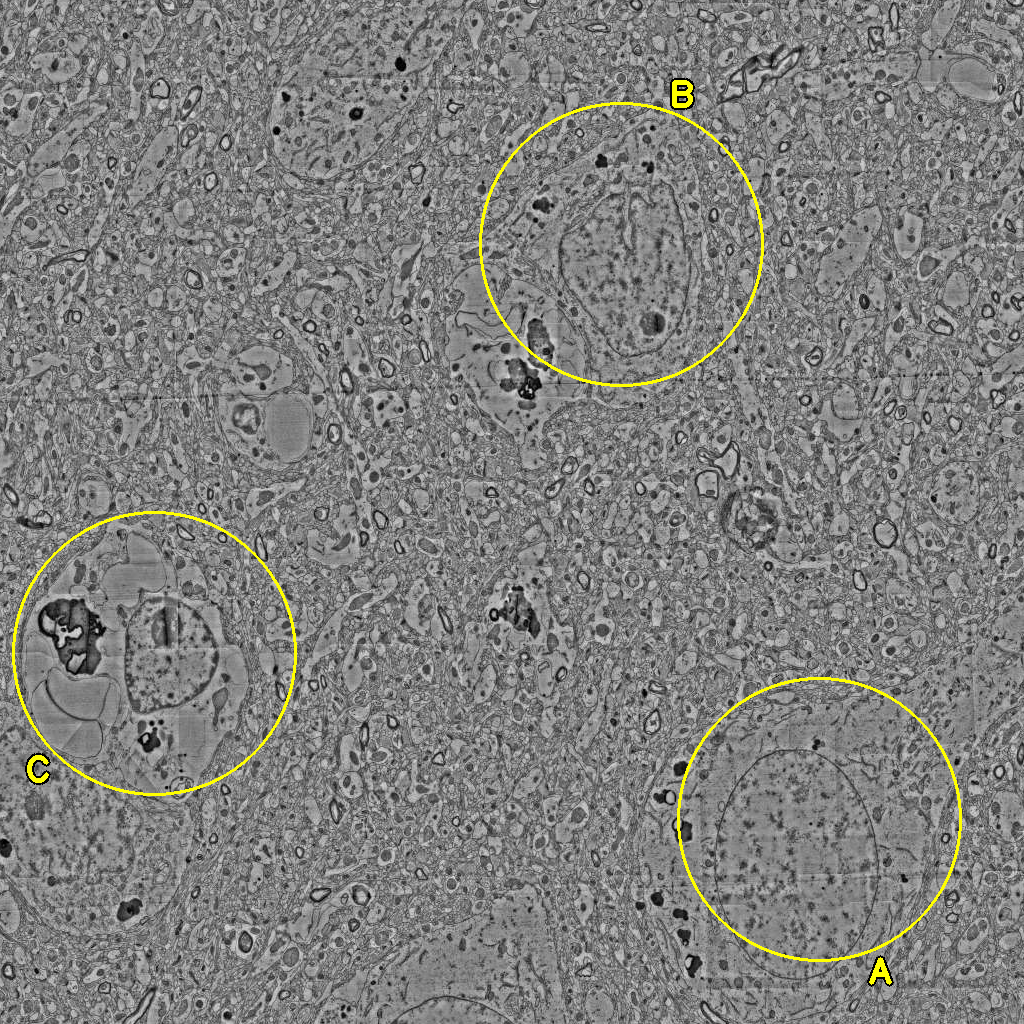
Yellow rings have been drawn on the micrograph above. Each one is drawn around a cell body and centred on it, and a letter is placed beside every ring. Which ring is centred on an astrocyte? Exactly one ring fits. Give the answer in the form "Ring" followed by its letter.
Ring C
